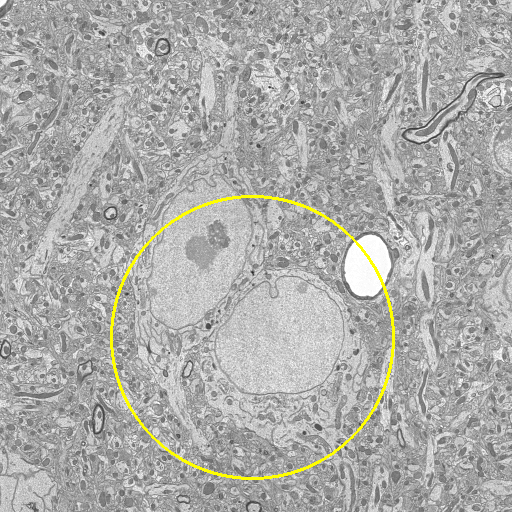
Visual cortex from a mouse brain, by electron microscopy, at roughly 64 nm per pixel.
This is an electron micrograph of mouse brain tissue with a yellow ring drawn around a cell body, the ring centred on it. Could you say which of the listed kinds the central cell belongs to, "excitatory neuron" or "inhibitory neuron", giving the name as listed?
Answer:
excitatory neuron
